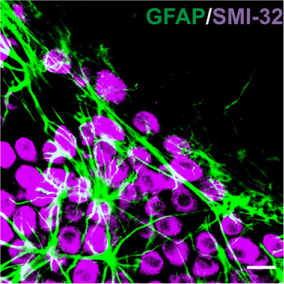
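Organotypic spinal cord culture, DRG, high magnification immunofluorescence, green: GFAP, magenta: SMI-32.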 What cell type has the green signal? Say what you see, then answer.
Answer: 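Astrocytes. Green signal forms long thin fibrous processes. The green processes wind between and around the magenta cell bodies.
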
